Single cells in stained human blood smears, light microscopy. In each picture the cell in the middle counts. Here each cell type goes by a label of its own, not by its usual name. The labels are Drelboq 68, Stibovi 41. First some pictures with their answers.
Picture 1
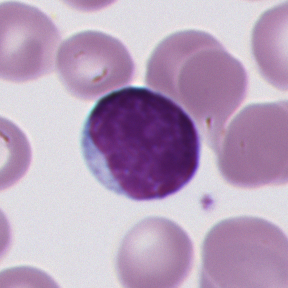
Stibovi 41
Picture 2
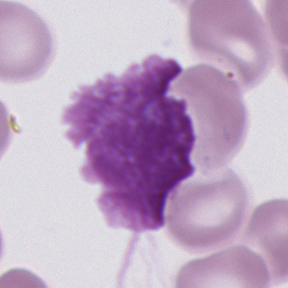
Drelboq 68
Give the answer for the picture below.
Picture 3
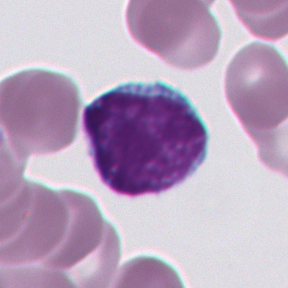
Stibovi 41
